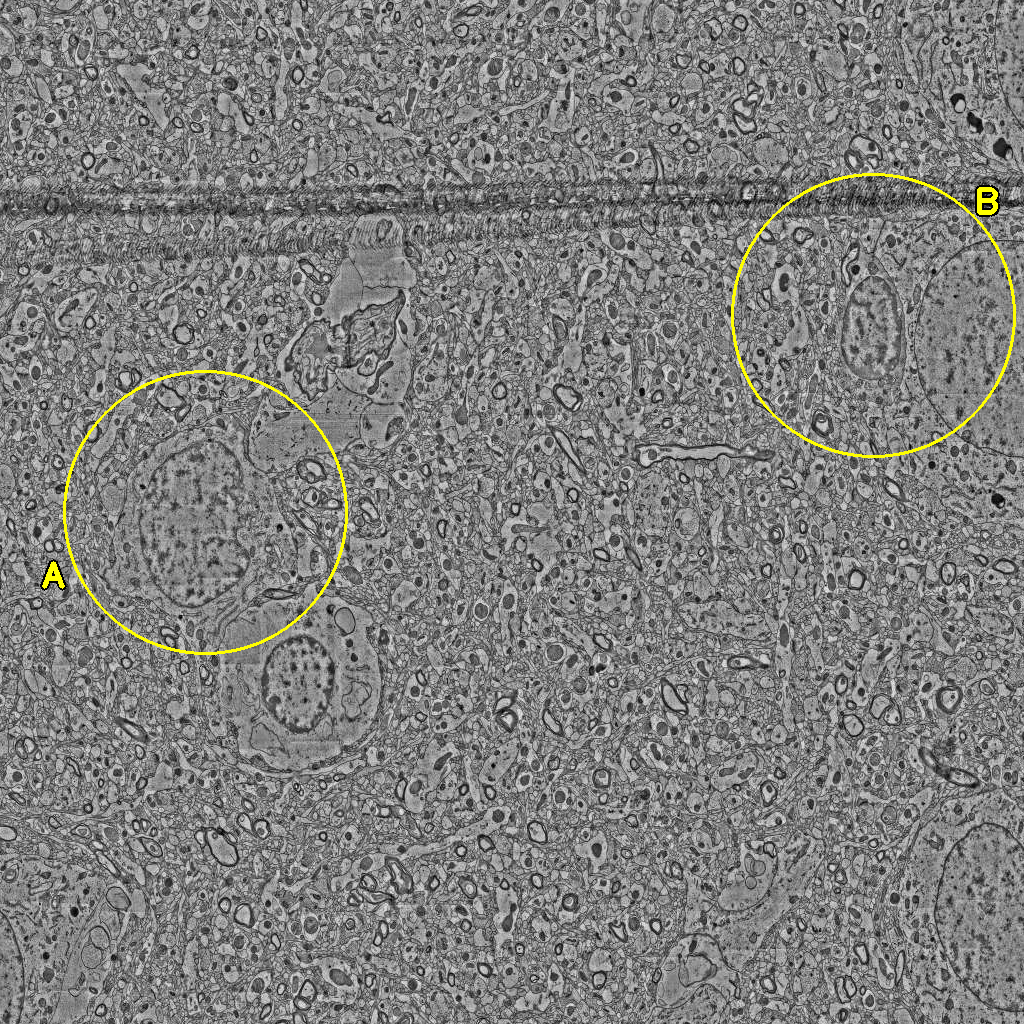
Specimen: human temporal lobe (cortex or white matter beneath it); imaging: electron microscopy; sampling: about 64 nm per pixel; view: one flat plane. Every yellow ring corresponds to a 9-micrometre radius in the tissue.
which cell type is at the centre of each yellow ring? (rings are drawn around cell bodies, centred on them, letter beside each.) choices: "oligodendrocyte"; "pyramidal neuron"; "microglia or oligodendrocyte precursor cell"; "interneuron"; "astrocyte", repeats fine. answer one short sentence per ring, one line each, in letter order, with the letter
Ring A is an interneuron.
Ring B is an oligodendrocyte.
